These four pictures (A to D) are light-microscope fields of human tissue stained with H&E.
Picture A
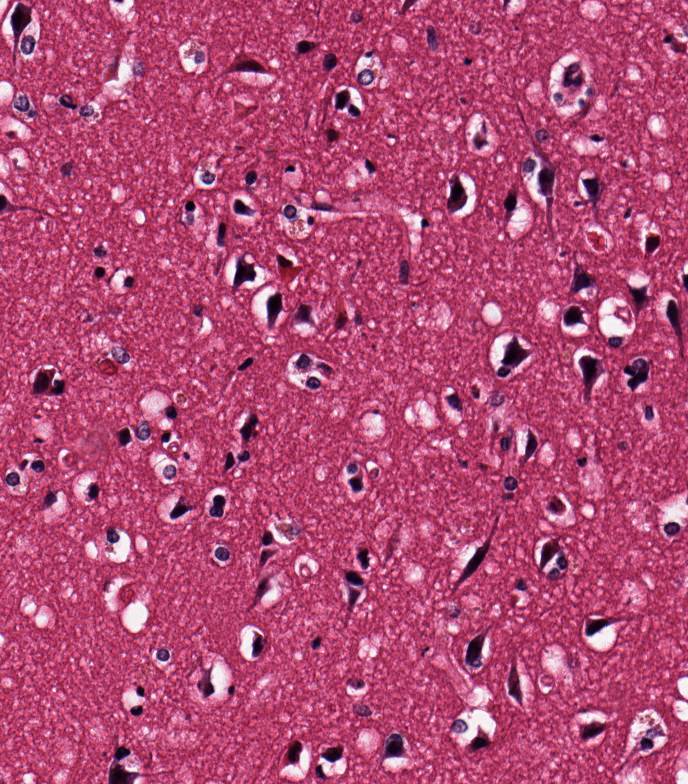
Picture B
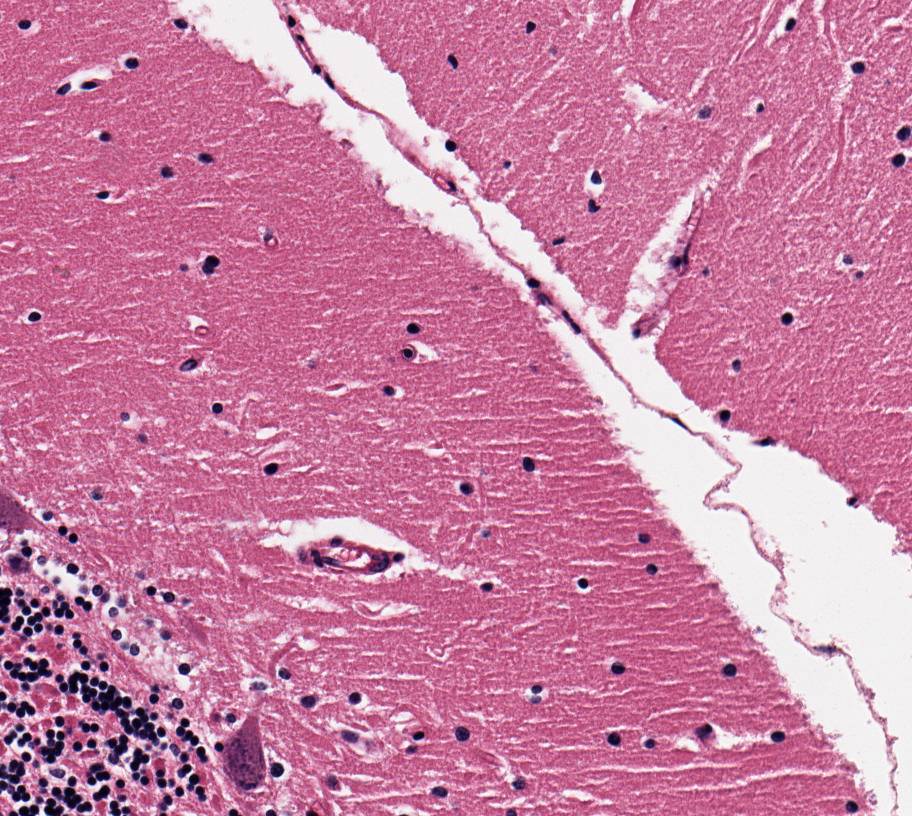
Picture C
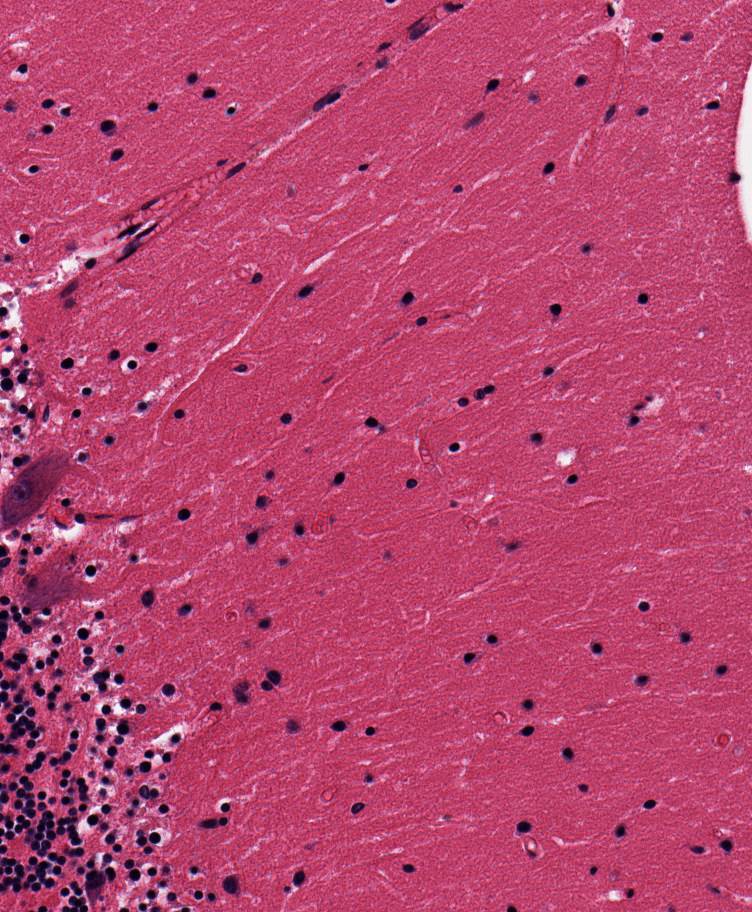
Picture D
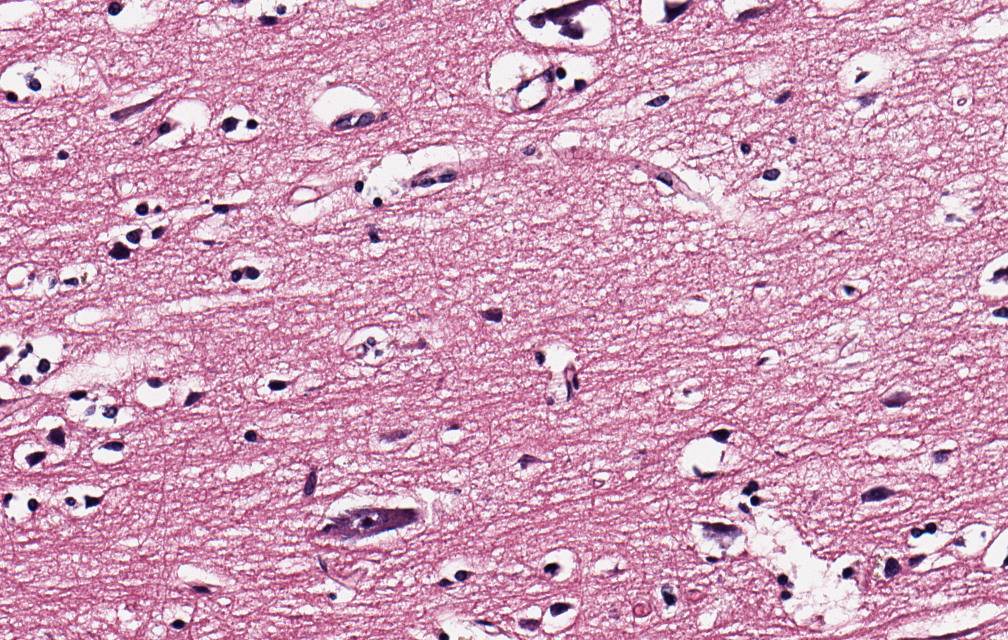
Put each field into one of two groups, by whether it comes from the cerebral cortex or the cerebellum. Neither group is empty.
A: cerebral cortex
B: cerebellum
C: cerebellum
D: cerebral cortex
